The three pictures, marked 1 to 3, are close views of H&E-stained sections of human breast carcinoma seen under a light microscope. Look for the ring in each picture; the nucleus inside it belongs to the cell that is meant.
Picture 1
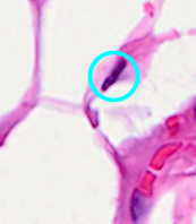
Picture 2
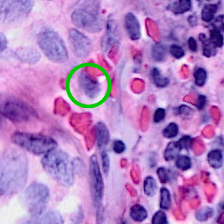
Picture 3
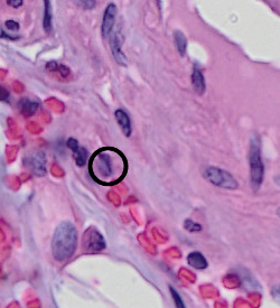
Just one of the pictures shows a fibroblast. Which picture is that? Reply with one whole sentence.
Picture 1 is the one that shows the fibroblast.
